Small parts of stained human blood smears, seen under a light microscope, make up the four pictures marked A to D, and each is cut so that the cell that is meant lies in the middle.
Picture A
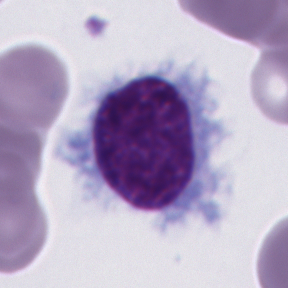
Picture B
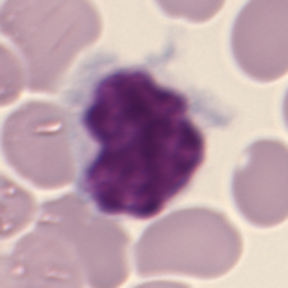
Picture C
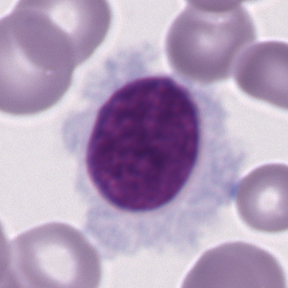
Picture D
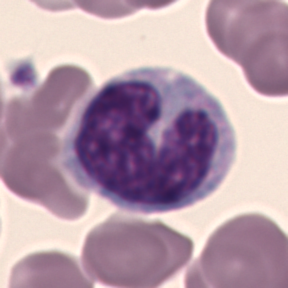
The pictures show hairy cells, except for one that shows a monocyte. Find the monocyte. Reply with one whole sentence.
The monocyte is the one in picture D.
